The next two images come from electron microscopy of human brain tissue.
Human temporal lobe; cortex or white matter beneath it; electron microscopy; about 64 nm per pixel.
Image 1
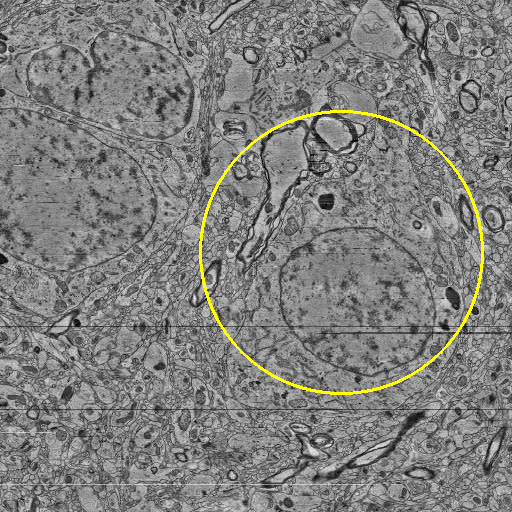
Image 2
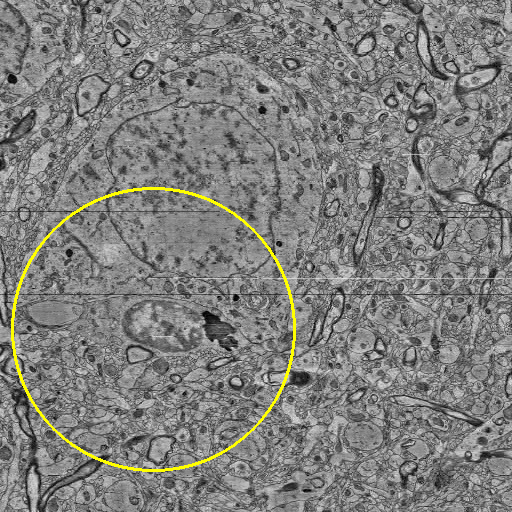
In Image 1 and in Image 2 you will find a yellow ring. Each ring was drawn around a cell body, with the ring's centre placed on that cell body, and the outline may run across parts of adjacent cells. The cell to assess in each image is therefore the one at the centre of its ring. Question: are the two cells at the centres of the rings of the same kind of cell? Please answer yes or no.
no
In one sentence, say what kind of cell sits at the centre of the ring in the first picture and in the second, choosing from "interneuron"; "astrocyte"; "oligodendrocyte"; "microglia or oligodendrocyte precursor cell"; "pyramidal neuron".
The first picture's ringed cell is a pyramidal neuron, while the second picture's is an oligodendrocyte.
